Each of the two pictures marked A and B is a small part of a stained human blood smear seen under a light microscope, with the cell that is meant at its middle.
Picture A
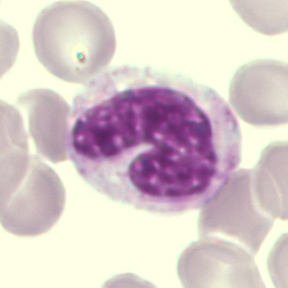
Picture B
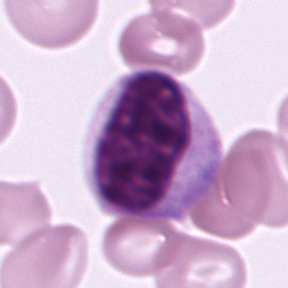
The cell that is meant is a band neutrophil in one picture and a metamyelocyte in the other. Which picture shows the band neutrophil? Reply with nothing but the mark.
A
